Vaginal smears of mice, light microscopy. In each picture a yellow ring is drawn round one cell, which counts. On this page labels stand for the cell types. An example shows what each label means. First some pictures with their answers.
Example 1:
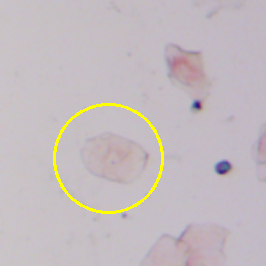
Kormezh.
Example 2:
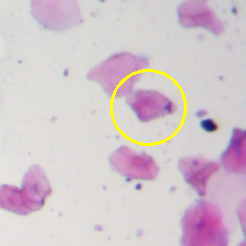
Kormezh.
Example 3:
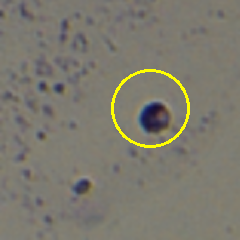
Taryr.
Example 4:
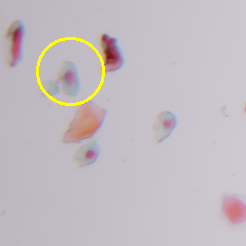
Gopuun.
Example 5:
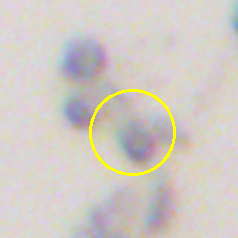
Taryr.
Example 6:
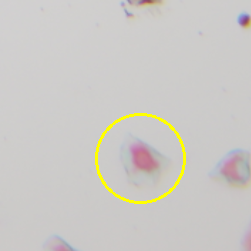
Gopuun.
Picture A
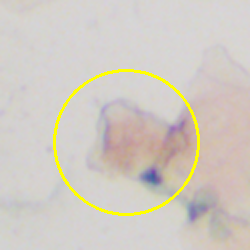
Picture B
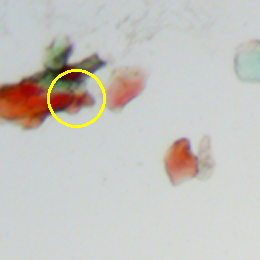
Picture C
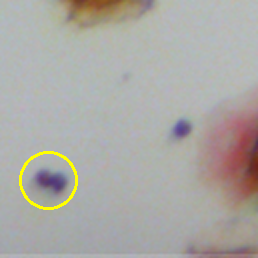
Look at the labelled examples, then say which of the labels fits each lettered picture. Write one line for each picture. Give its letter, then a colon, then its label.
A: Kormezh.
B: Kormezh.
C: Taryr.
